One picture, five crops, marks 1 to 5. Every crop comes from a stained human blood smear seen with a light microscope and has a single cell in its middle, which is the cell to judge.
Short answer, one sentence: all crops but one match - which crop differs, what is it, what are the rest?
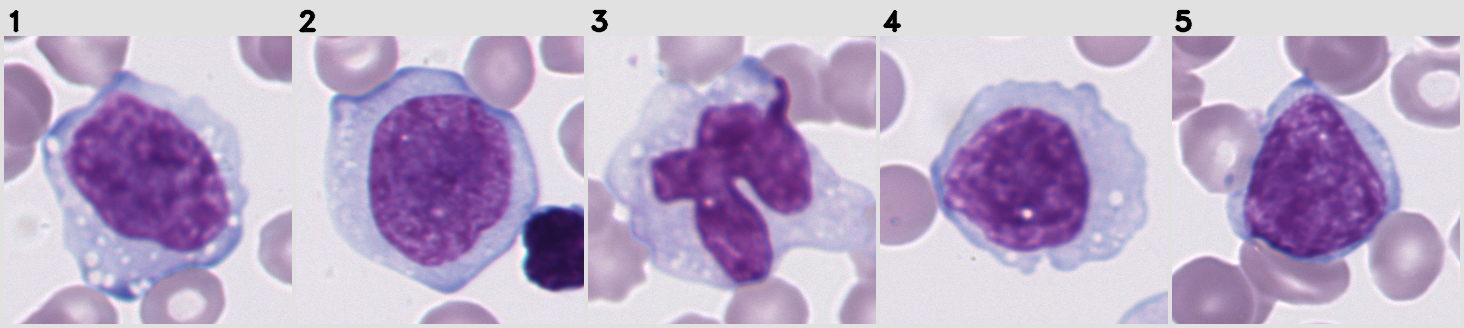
Crop 3 is the sole crop with a monocyte; the others all have myeloblasts.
